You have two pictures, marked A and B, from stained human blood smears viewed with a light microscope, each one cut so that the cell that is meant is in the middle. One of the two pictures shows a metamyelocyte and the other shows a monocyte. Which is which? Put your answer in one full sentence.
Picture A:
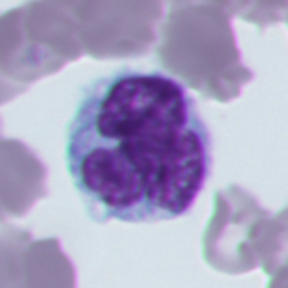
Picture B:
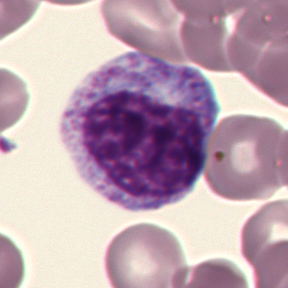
The cell in picture A is a monocyte, and the one in picture B is a metamyelocyte.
